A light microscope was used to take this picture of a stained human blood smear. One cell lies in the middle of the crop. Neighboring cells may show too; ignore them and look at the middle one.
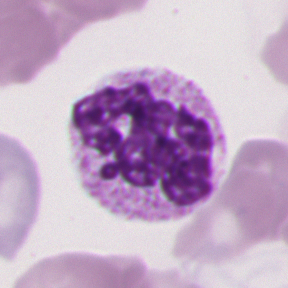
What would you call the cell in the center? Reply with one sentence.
The cell nearest the centre of this crop is a segmented neutrophil.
